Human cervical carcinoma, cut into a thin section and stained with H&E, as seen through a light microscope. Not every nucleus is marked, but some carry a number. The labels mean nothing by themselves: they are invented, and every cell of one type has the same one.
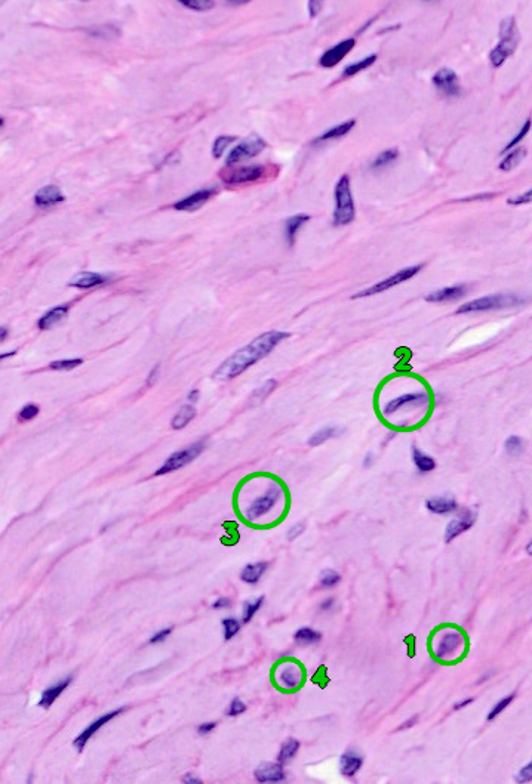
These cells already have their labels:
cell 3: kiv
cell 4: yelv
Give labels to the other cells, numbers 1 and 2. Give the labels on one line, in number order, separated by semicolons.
yelv; kiv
